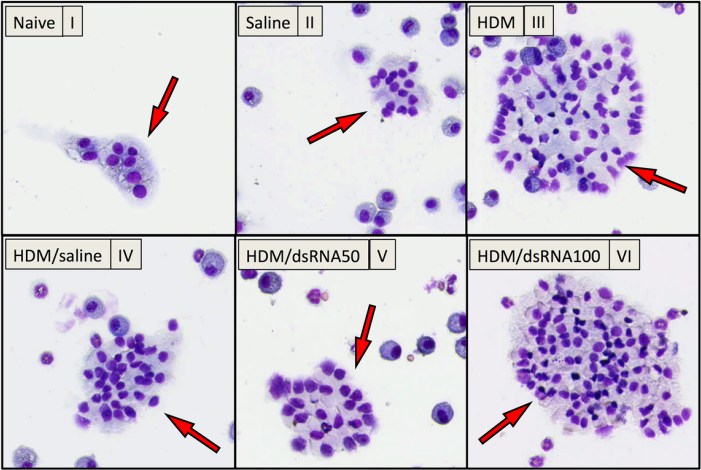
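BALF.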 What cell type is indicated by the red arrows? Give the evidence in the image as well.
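The arrows point to cohesive groups of cells lying tightly packed together. The grouped cells have round, dark purple nuclei set in pale lilac cytoplasm. Single round cells lie scattered apart from the groups. So: clusters of epithelial cells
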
